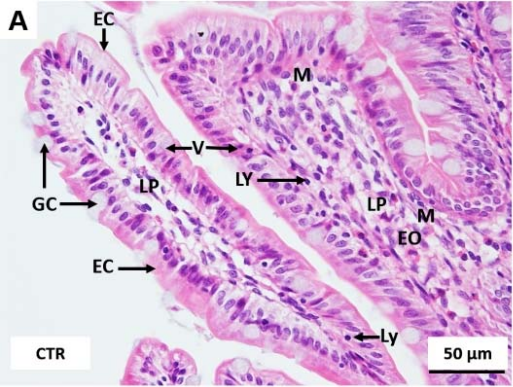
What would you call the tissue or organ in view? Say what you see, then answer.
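Finger-like projections covered by a single layer of tall columnar cells. Pale, goblet-shaped mucus cells scattered among the columnar cells. A loose connective tissue core inside each projection. On this evidence: small intestine.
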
